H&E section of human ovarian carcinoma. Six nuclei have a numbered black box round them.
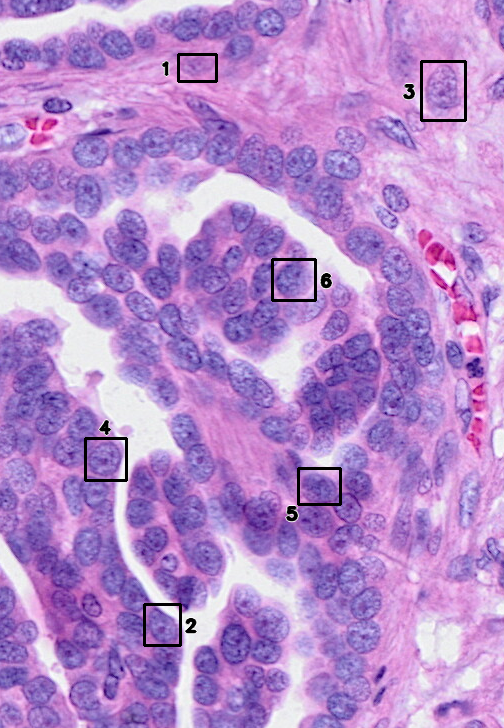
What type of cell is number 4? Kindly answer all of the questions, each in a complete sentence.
The nucleus with number 4 is that of a carcinoma cell.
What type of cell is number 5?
The cell given label 5 is a carcinoma cell.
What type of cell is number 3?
The expected answer is that cell 3 is a fibroblast.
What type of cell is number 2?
Cell 2 of the marked set is a carcinoma cell.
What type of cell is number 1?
The cell referred to as 1 is a fibroblast.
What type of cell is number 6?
To a carcinoma cell belongs the nucleus marked 6.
